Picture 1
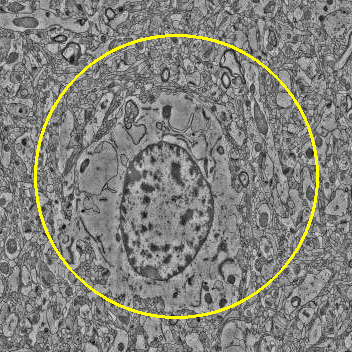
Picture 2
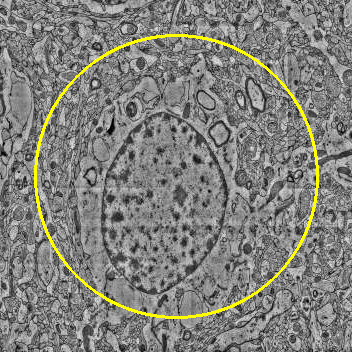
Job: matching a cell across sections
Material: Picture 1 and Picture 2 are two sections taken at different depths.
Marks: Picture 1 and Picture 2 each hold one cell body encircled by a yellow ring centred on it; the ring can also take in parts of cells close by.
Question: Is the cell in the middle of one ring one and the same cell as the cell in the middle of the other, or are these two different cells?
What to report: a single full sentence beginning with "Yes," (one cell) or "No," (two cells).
Yes, the same individual cell is enclosed by both rings.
